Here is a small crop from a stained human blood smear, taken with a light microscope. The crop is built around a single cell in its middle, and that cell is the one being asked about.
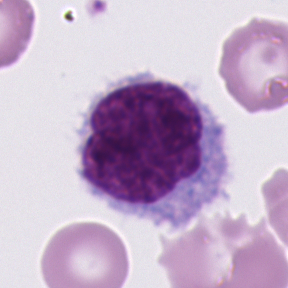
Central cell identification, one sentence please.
The cell at the middle of the frame should be recorded as a hairy cell.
